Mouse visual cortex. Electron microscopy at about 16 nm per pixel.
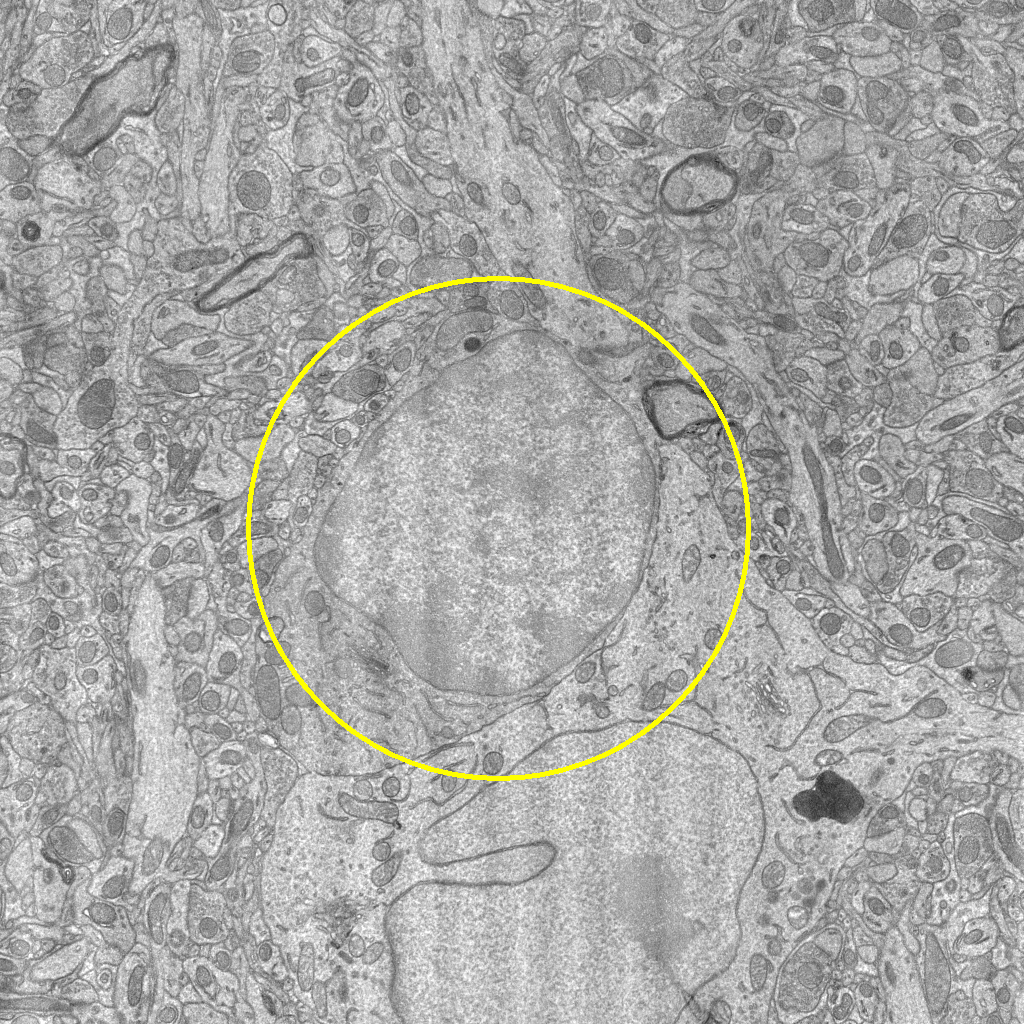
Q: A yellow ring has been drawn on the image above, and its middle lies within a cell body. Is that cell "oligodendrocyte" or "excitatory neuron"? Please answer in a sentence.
The ring's middle lies in the cell body of an oligodendrocyte.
